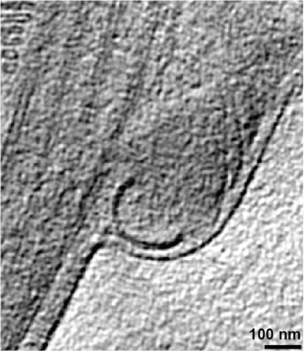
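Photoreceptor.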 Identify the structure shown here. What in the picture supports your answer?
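A small rounded membrane evagination bulges from the side of the ciliary membrane. Faint parallel filamentous profiles run lengthwise beside the evagination.
Conclusion: basal disc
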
